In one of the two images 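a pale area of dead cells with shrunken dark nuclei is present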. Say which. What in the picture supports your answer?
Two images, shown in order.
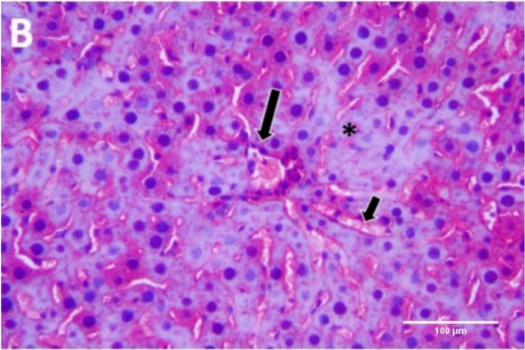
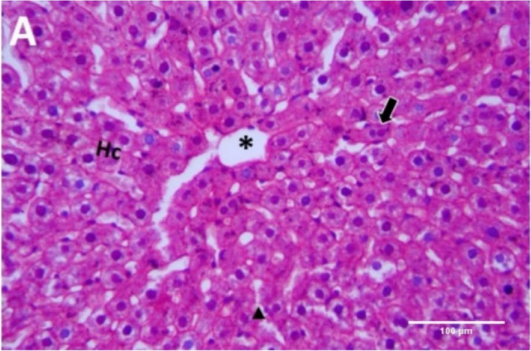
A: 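The first image. Second image: cells are evenly pink with round nuclei, arranged in cords around a central lumen.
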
